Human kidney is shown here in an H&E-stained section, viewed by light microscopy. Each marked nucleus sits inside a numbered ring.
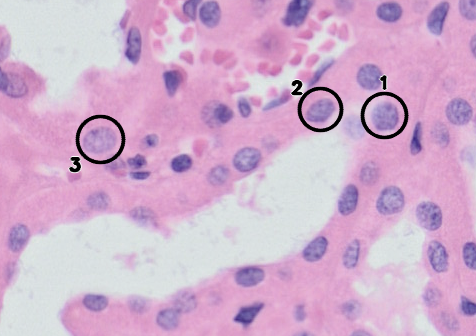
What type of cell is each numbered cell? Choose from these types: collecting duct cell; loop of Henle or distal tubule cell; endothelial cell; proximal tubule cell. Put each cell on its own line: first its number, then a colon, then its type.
1: loop of Henle or distal tubule cell
2: loop of Henle or distal tubule cell
3: proximal tubule cell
